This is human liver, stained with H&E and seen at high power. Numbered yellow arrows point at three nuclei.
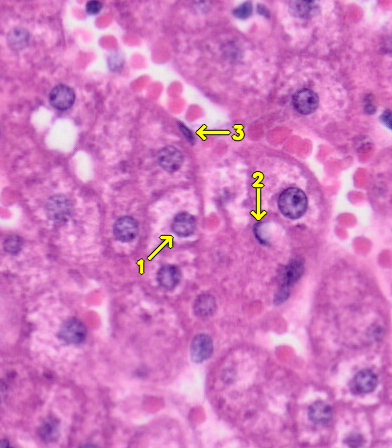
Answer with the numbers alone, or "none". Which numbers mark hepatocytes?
1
